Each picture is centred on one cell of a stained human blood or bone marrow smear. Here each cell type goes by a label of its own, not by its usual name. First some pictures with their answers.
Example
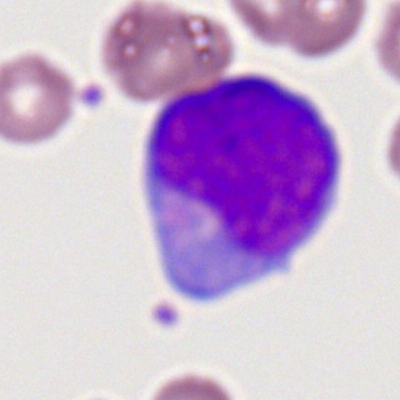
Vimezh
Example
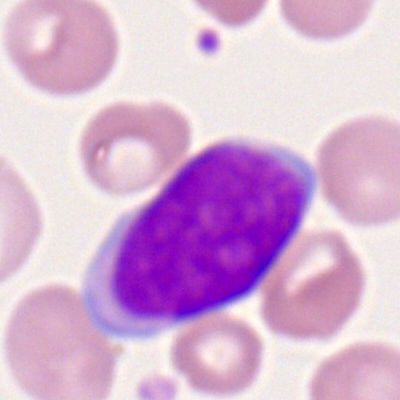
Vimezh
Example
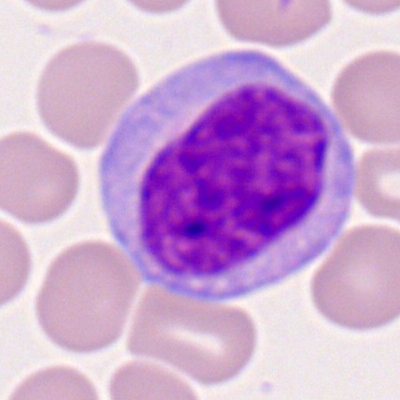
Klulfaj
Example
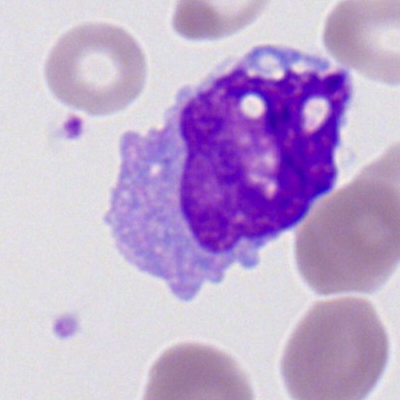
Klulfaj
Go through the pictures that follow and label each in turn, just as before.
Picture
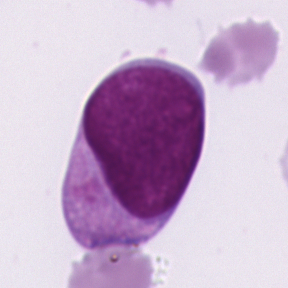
Vimezh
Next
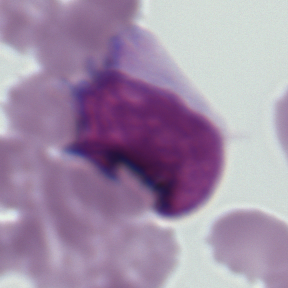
Vimezh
